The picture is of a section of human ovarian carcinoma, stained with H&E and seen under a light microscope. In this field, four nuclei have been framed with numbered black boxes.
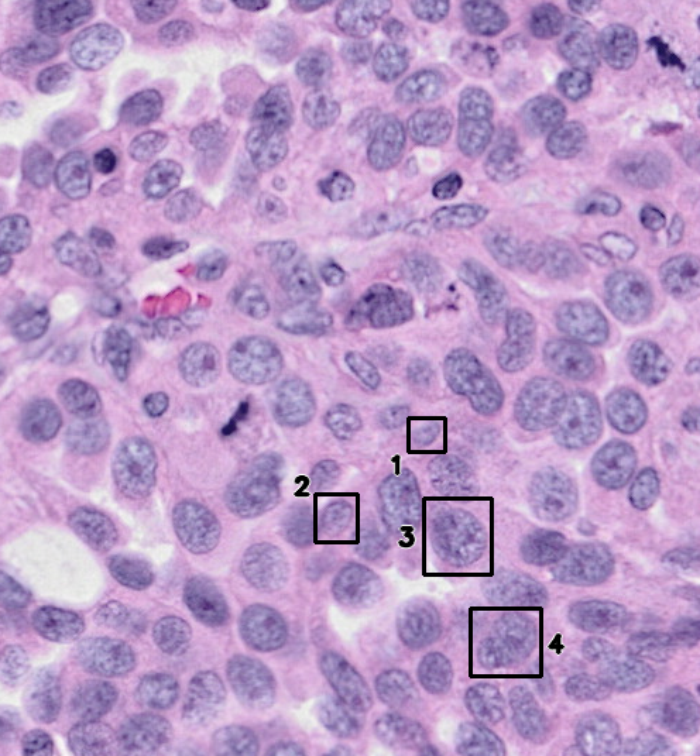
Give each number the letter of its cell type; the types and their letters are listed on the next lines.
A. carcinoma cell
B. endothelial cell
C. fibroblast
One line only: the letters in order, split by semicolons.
C; A; A; A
